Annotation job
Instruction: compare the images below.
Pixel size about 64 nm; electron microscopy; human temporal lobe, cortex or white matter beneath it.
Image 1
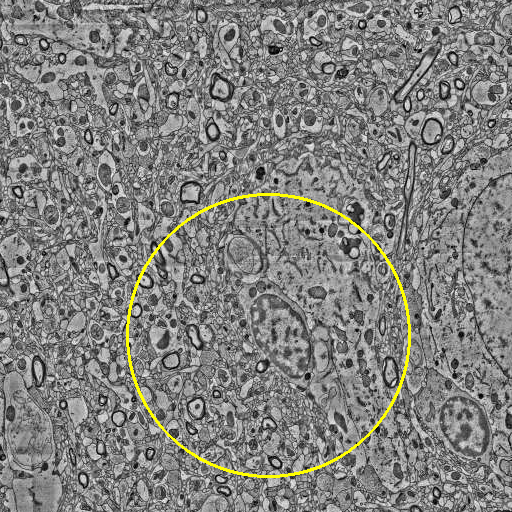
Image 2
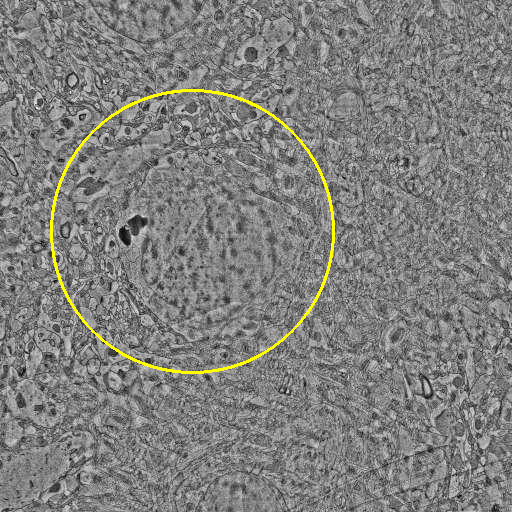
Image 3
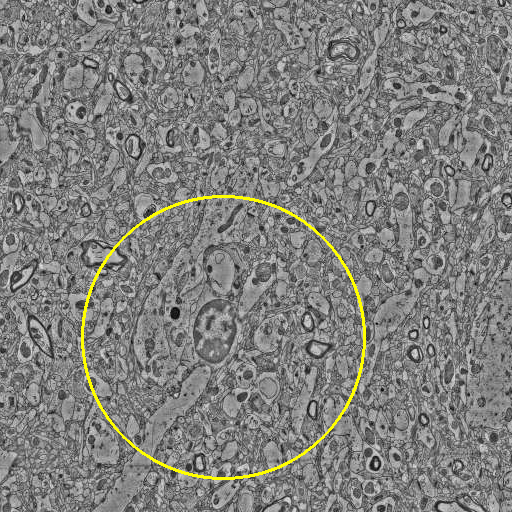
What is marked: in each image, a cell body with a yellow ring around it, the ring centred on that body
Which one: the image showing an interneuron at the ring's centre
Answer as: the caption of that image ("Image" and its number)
Image 2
